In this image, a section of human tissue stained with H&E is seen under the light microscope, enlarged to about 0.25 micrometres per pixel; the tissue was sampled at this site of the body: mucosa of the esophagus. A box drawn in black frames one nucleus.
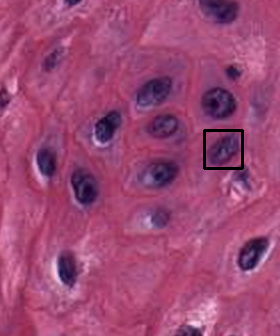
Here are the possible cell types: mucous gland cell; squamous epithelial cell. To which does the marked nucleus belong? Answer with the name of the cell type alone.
squamous epithelial cell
